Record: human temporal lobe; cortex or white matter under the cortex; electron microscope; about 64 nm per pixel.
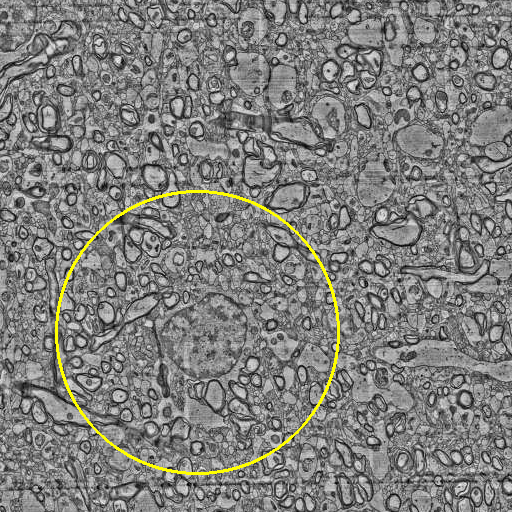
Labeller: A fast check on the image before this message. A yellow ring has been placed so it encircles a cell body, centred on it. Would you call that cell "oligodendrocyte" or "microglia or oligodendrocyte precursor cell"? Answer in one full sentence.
In this image, an oligodendrocyte is the cell on which the yellow ring is centred.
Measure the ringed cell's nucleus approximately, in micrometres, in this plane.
About 6 by 5 micrometres in this plane.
